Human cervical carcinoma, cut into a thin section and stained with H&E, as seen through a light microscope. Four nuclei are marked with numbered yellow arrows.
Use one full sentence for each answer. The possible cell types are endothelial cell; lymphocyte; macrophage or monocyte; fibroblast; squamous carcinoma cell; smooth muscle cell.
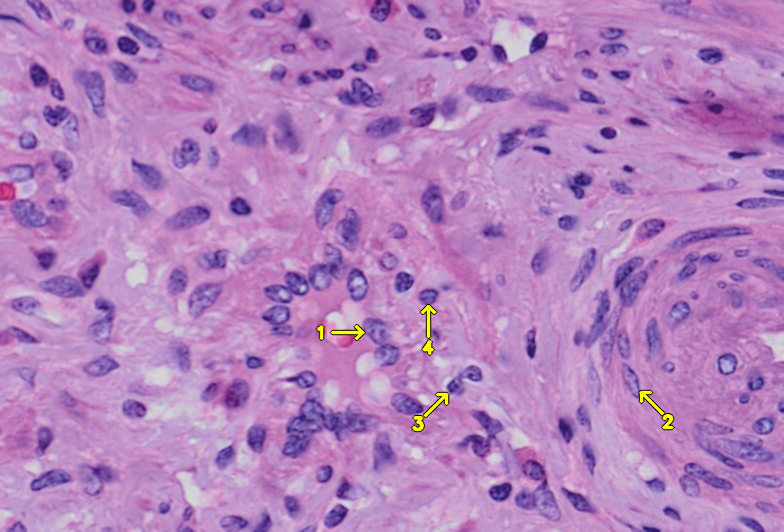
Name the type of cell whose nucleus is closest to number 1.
Number 1 lies closest to the nucleus of an endothelial cell.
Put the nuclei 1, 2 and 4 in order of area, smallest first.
Smallest first, the nuclei run 4, 2, 1.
